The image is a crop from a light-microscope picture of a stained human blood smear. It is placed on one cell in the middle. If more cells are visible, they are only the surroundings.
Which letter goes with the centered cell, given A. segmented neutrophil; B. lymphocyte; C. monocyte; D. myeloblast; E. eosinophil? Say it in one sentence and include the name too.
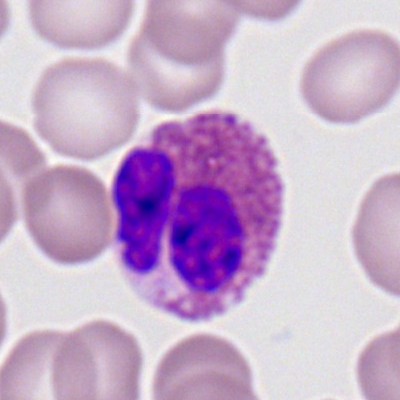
The central cell of the crop is an eosinophil, which makes E the correct option.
